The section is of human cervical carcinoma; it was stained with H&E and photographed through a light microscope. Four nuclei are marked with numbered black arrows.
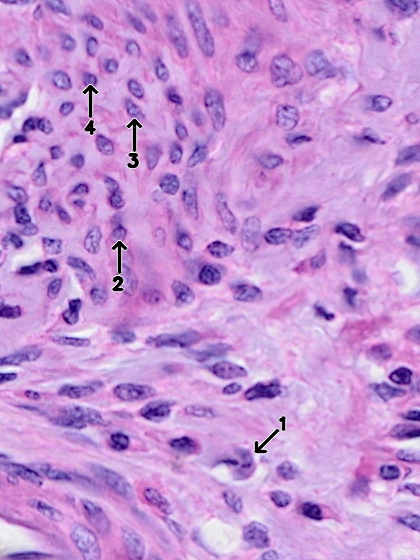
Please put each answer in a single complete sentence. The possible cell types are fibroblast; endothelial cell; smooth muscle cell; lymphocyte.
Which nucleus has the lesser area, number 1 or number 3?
Nucleus 3 covers less area, with nucleus 1 about 2.5 times as large.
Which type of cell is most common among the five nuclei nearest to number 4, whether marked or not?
Smooth muscle cells make up most of the five nuclei closest to number 4.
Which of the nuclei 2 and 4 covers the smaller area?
Nucleus 4 covers less area, with nucleus 2 about 2 times as large.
